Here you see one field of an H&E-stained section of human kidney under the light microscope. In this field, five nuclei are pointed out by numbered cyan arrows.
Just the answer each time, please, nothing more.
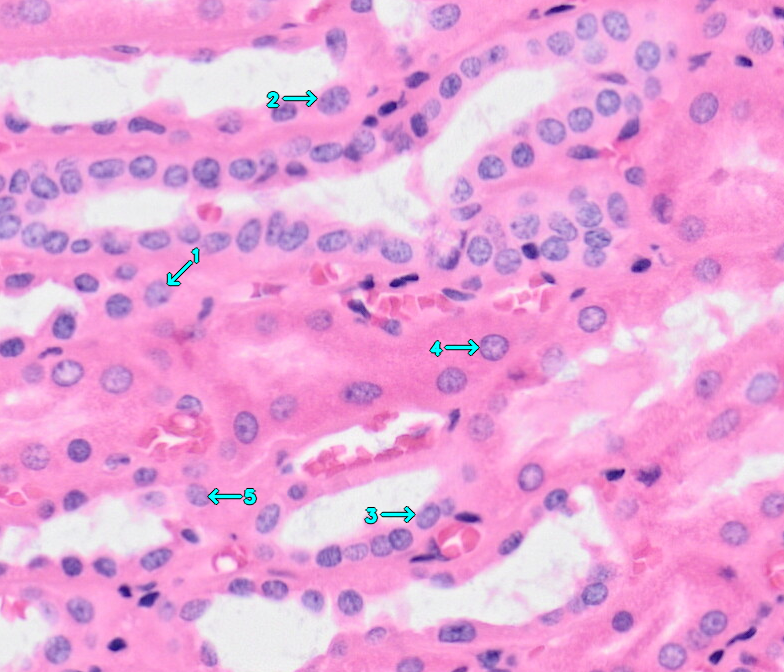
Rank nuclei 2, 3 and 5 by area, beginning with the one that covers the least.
5, 3, 2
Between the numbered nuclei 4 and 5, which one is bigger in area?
4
